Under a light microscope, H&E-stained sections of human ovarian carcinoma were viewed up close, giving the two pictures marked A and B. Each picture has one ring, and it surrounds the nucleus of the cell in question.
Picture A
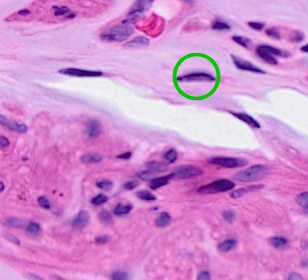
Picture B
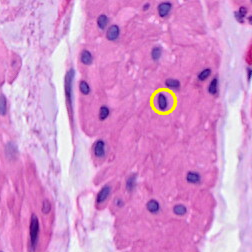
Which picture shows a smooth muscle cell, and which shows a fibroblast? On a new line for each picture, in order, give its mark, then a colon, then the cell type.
A: fibroblast
B: smooth muscle cell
